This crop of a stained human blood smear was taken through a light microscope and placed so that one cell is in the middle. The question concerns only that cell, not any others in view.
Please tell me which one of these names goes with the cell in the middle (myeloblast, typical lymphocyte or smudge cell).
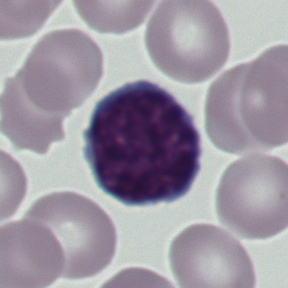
typical lymphocyte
